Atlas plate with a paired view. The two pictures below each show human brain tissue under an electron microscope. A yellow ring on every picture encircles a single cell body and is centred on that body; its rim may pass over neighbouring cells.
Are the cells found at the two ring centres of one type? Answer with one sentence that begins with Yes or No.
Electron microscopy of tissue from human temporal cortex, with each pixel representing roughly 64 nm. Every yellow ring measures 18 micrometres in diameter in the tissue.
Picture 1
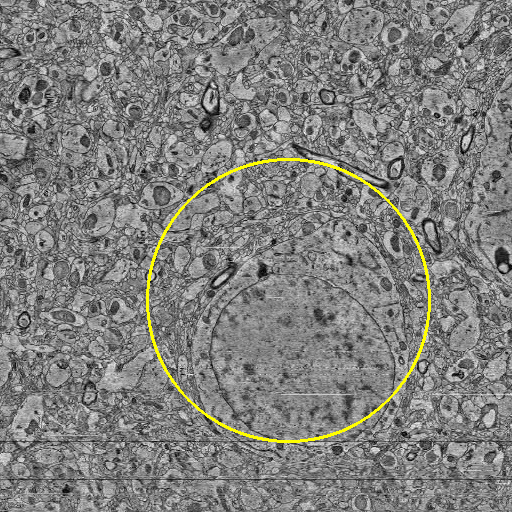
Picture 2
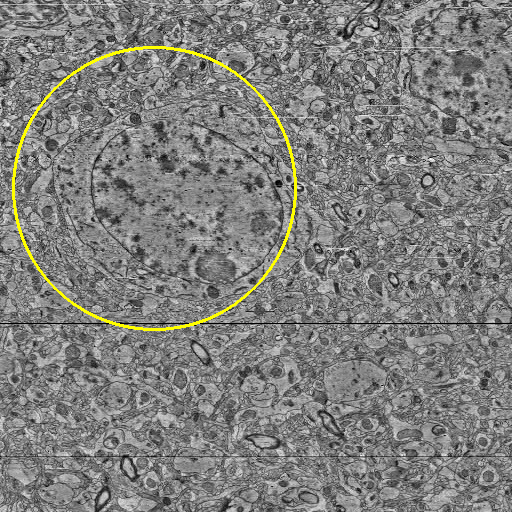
Yes, the two cells lying at the centres of the rings share a single type.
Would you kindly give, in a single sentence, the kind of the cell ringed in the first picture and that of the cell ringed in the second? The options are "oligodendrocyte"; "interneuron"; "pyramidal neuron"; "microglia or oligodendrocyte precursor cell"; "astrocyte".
Each of the two pictures has a pyramidal neuron at the ring centre.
